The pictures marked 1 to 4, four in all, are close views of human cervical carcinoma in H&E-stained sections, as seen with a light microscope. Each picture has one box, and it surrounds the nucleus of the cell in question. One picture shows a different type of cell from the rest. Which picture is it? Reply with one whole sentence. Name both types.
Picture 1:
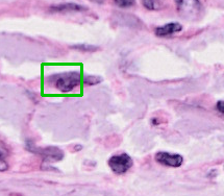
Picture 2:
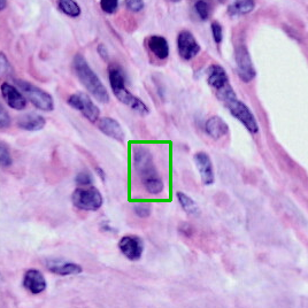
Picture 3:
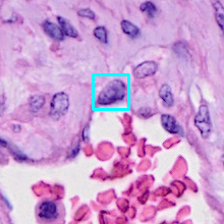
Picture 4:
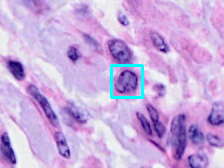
Picture 3 differs, because its cell is an endothelial cell and the rest are “macrophages or monocytes”.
